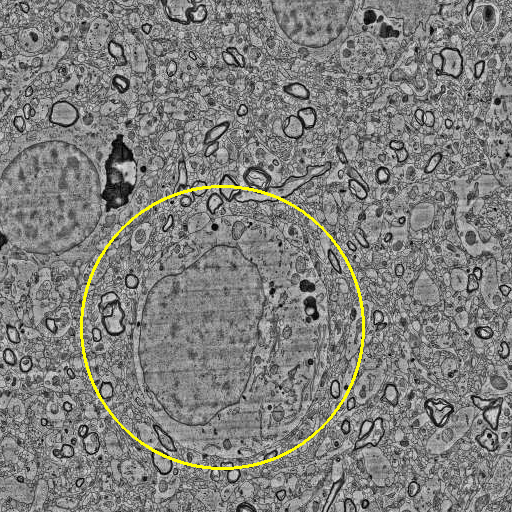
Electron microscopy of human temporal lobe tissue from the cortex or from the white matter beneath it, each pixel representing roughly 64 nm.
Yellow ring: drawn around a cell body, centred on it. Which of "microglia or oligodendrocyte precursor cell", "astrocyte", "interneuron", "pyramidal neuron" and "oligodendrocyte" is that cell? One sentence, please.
That cell body is from a pyramidal neuron.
